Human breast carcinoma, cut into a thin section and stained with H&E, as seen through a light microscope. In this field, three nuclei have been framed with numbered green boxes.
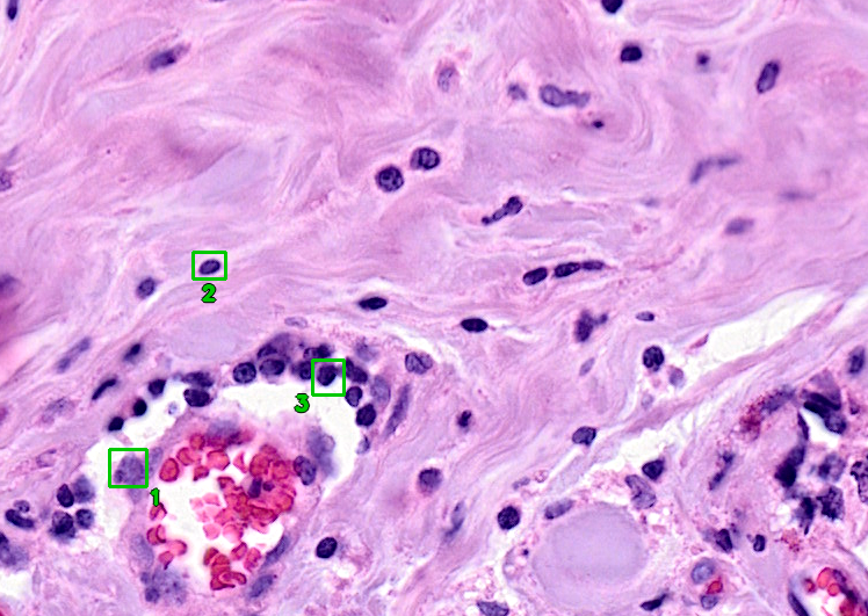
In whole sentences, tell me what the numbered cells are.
Cell 1 is an endothelial cell, cell 2 is a lymphocyte and cell 3 is a lymphocyte.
